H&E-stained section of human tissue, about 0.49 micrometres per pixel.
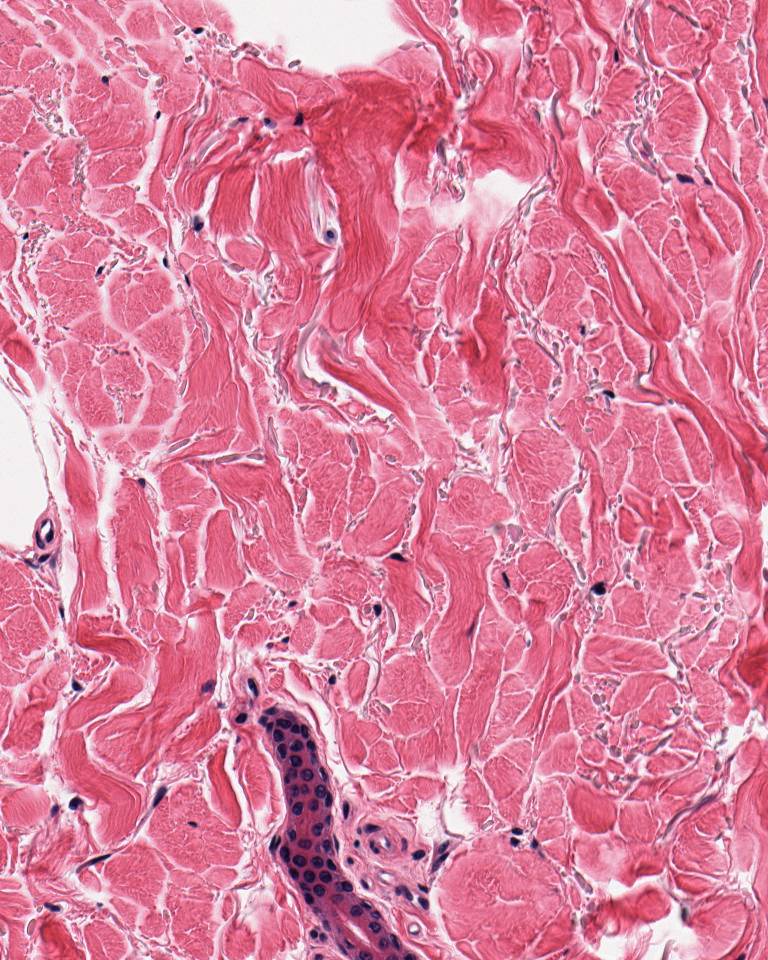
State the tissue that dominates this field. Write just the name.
dermis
